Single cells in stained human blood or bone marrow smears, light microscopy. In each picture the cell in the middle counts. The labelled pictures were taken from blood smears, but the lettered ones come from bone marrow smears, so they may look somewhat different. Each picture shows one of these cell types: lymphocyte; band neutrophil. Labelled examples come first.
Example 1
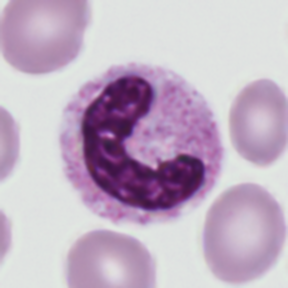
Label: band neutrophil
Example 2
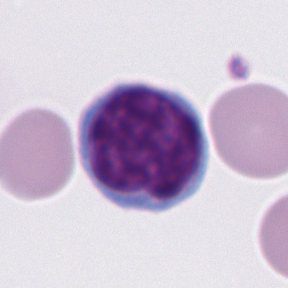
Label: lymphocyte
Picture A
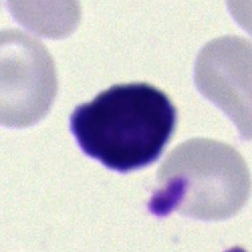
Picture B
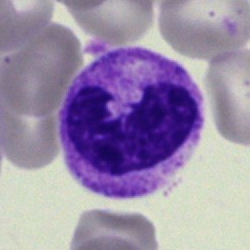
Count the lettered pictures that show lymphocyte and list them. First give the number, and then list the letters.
Count: 1 (A)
